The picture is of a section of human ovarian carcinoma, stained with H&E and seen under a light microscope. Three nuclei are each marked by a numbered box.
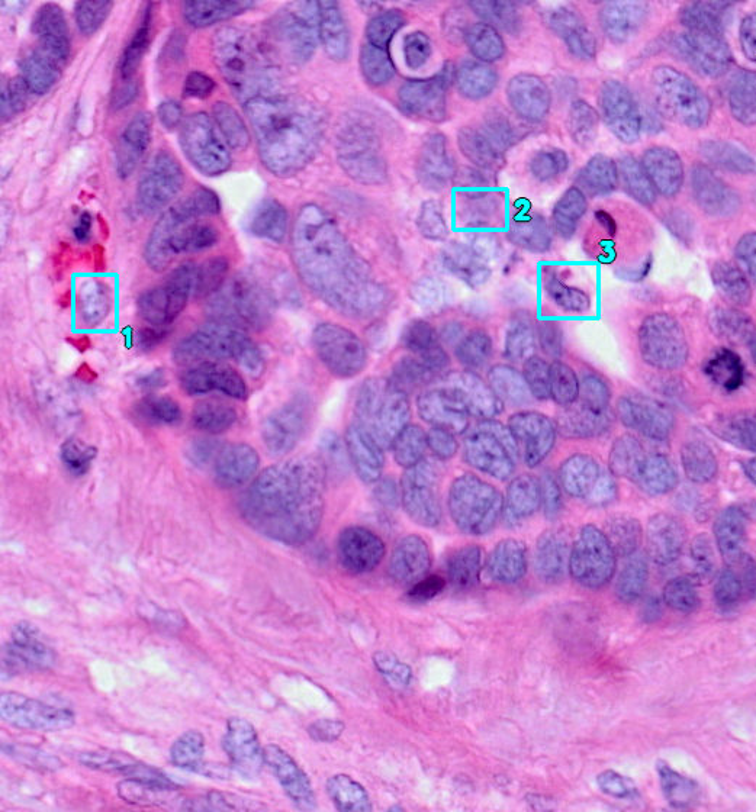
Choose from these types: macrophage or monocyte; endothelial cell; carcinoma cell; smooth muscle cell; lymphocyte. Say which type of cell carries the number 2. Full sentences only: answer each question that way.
Here, the cell given the number 2 is a carcinoma cell.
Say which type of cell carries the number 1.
Recognised here as an endothelial cell is the cell numbered 1.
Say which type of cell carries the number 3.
The one labeled 3 is a macrophage or monocyte, to put it simply.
